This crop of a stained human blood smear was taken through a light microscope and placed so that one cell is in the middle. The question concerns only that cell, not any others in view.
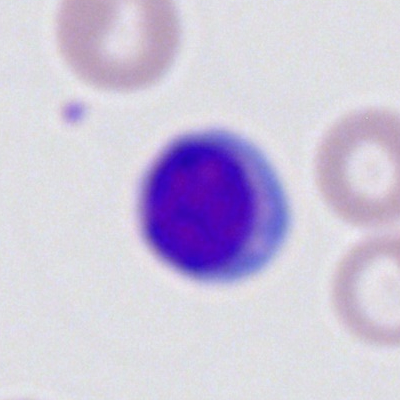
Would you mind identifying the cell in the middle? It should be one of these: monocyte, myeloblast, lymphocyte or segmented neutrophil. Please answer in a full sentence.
Framed in the middle of the crop is a lymphocyte.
